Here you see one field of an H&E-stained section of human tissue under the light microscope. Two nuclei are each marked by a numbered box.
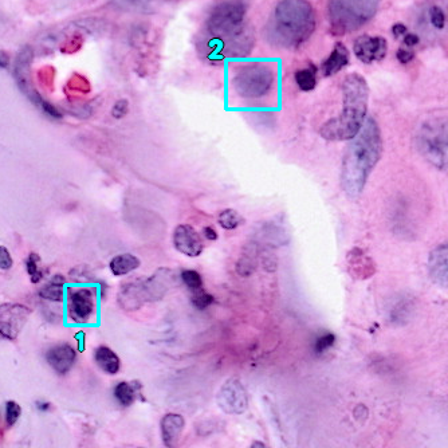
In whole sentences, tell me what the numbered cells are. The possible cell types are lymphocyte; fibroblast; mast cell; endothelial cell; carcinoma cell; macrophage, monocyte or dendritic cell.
Cell 1 is a lymphocyte and cell 2 is a carcinoma cell.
